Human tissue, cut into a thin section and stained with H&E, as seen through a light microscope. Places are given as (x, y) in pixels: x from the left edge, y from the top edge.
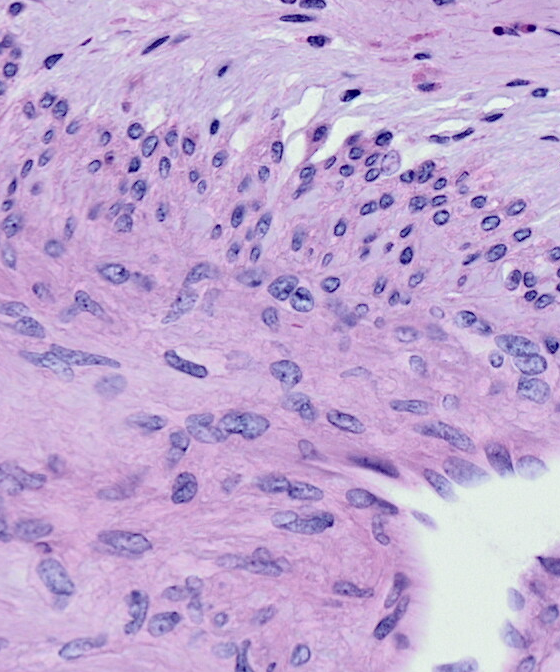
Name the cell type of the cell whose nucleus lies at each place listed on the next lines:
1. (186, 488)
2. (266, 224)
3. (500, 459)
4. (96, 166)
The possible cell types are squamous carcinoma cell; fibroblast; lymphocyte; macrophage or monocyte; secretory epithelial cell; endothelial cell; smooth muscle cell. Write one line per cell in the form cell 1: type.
cell 1: smooth muscle cell
cell 2: smooth muscle cell
cell 3: endothelial cell
cell 4: smooth muscle cell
